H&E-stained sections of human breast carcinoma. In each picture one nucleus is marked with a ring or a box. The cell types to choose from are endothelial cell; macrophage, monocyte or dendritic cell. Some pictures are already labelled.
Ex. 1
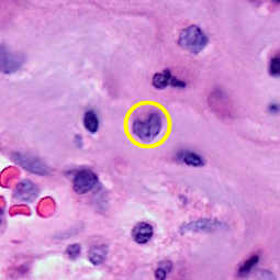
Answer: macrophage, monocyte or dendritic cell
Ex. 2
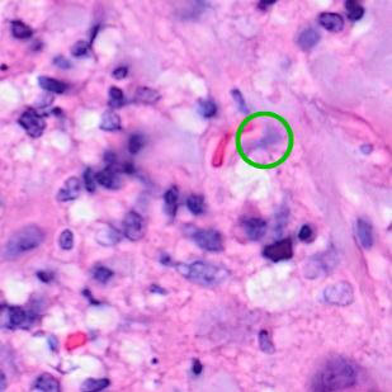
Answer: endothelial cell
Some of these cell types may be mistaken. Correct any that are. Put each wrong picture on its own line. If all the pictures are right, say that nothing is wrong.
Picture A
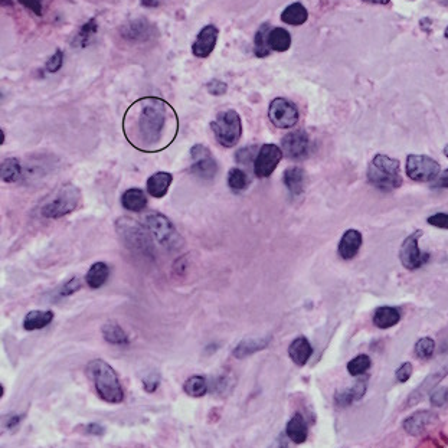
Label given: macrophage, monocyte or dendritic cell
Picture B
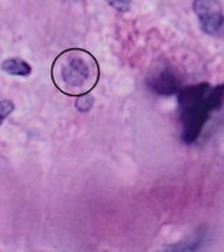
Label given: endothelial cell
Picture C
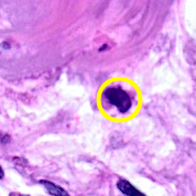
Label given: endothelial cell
B: macrophage, monocyte or dendritic cell, not endothelial cell
C: macrophage, monocyte or dendritic cell, not endothelial cell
